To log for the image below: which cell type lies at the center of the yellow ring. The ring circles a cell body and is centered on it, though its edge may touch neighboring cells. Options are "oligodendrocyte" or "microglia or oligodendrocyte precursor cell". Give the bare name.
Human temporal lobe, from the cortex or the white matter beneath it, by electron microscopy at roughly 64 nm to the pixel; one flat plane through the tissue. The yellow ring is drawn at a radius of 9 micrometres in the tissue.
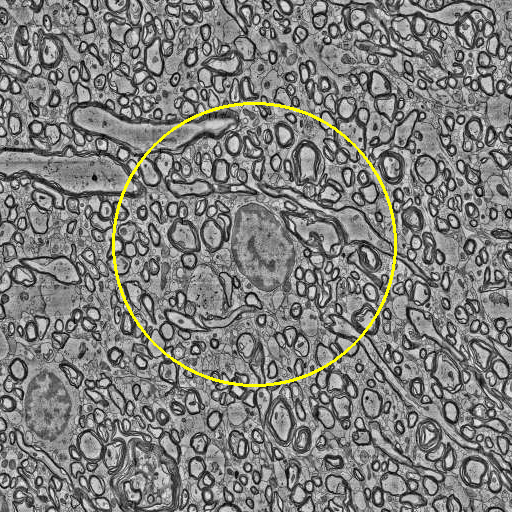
microglia or oligodendrocyte precursor cell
